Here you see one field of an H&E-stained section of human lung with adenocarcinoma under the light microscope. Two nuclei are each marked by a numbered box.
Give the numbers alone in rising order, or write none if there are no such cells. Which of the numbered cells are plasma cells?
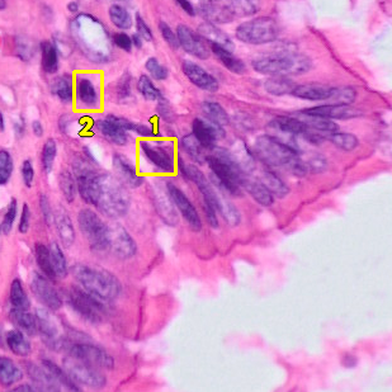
2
